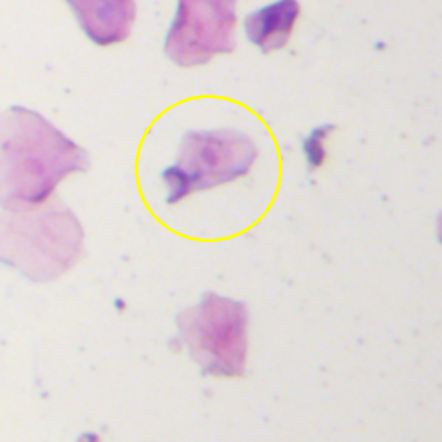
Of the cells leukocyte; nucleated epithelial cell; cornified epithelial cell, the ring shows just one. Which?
The ring shows a nucleated epithelial cell.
